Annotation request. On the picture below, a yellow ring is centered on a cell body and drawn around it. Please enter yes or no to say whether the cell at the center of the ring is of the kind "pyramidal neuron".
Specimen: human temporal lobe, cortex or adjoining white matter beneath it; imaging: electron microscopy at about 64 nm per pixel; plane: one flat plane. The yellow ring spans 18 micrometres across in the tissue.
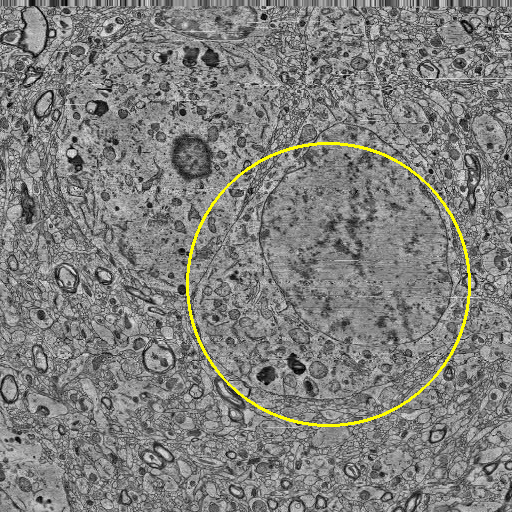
yes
